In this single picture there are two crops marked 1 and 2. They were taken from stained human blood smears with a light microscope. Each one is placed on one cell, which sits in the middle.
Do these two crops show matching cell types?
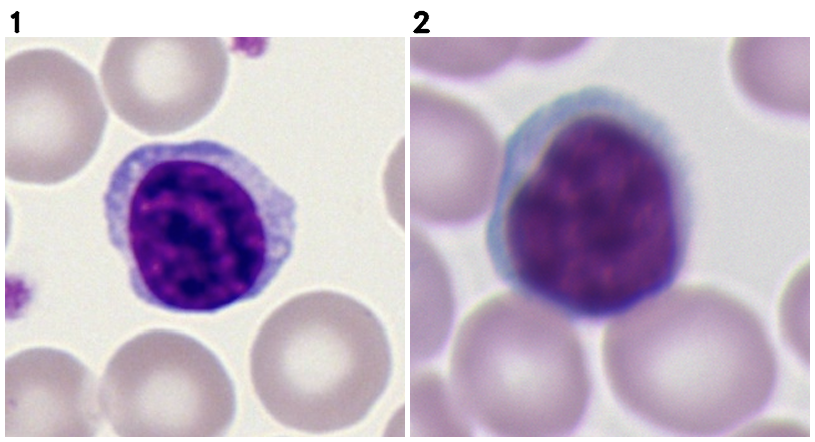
yes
